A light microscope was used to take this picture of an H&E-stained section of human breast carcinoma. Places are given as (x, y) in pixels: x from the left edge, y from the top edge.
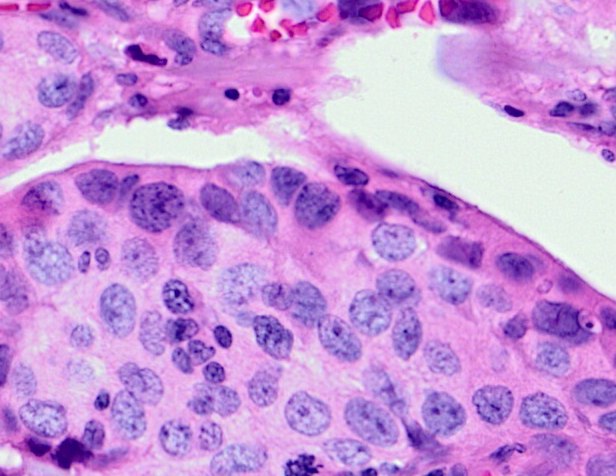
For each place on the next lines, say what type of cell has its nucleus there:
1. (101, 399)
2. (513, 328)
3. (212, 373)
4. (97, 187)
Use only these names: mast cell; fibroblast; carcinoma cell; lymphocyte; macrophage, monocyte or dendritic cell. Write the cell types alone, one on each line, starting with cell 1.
lymphocyte
carcinoma cell
lymphocyte
carcinoma cell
